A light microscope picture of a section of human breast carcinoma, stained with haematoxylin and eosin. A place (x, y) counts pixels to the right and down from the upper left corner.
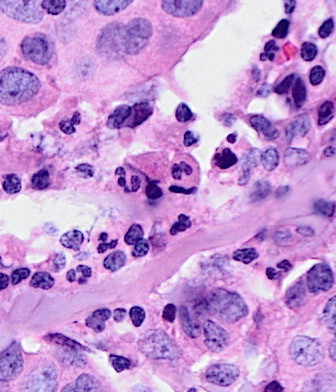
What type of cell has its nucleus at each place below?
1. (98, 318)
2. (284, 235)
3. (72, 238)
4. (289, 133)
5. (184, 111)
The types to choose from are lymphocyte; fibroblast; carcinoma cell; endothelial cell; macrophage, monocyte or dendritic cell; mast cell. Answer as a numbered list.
1. lymphocyte
2. endothelial cell
3. lymphocyte
4. endothelial cell
5. lymphocyte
